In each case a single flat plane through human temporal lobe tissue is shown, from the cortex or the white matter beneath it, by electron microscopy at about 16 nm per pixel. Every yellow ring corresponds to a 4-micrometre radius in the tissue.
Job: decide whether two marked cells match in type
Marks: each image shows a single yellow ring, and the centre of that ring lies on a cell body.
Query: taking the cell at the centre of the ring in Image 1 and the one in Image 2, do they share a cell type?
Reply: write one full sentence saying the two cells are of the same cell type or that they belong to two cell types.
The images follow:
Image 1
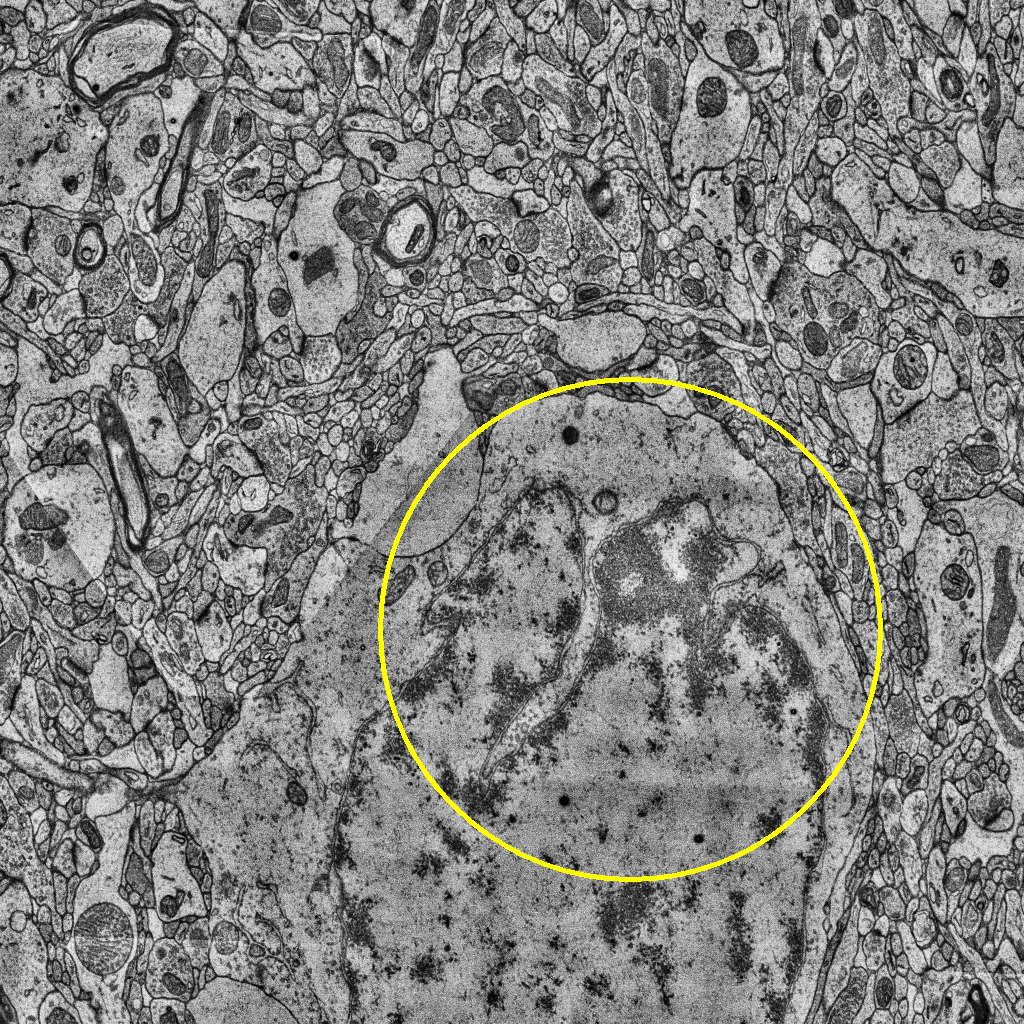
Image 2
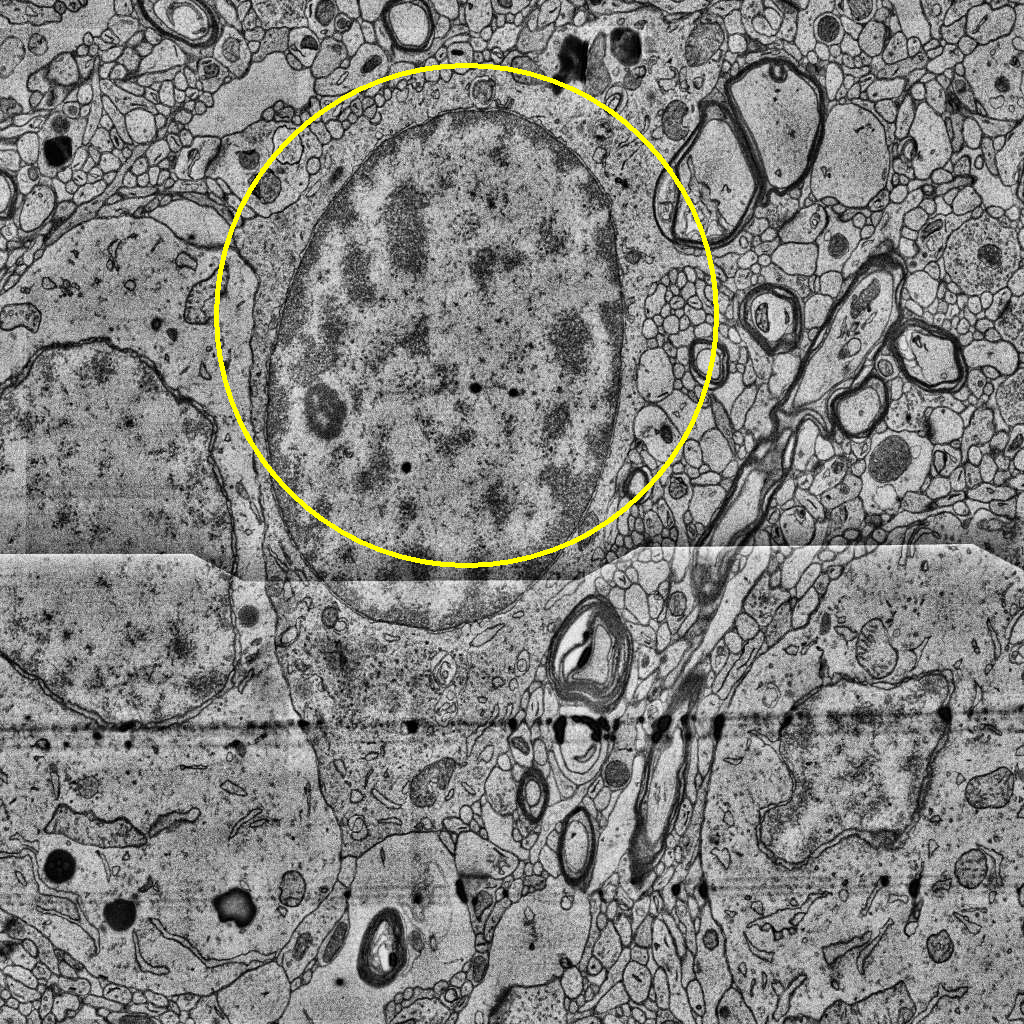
The cells at the ring centres in Image 1 and Image 2 belong to two cell types.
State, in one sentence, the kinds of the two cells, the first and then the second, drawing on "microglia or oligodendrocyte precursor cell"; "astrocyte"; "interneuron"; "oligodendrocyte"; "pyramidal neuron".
The first picture's cell is an interneuron, and the second picture's cell is an oligodendrocyte.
